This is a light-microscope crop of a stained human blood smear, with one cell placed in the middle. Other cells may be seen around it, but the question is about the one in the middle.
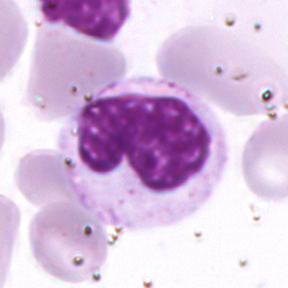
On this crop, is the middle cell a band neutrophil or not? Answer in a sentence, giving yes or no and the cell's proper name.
Yes, the cell at the centre is designated a band neutrophil.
